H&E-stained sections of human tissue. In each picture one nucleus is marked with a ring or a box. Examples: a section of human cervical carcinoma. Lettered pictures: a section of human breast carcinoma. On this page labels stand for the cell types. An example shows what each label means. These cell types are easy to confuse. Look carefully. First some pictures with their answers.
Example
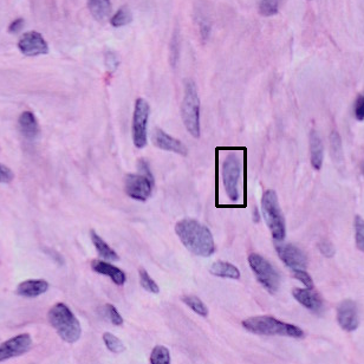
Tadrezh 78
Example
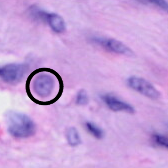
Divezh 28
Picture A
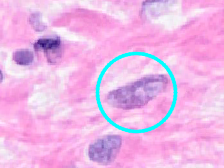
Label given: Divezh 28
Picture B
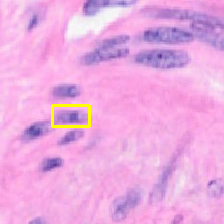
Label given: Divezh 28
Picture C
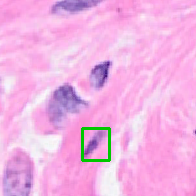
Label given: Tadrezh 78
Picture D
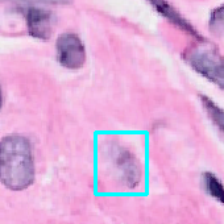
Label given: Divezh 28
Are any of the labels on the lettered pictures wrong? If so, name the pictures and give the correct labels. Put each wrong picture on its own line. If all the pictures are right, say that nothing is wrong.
Wrong: A (Divezh 28); correct: Tadrezh 78
Wrong: D (Divezh 28); correct: Tadrezh 78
